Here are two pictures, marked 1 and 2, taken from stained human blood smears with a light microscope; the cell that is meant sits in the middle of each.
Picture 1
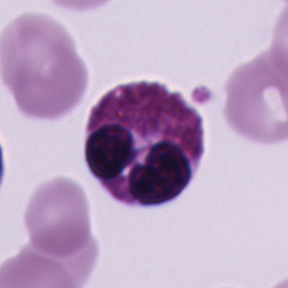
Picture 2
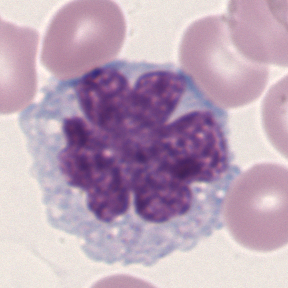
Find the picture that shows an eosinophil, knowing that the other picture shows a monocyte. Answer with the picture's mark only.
1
